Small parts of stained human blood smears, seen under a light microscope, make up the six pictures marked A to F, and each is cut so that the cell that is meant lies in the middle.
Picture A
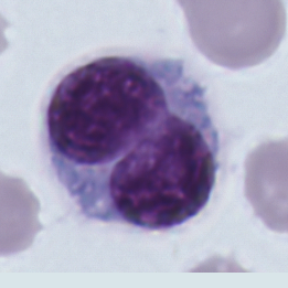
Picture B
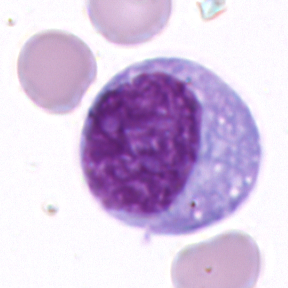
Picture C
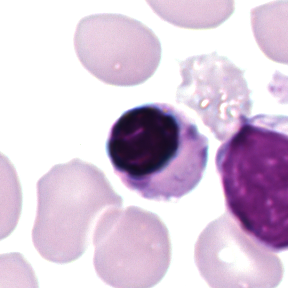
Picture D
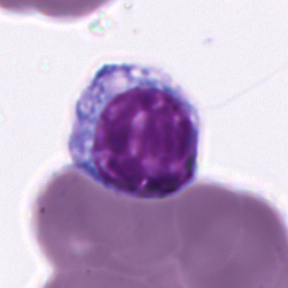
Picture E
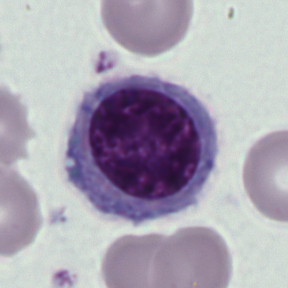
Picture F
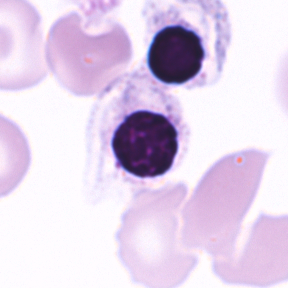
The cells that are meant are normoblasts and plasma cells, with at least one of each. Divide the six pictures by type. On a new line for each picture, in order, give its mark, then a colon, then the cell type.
A: plasma cell
B: plasma cell
C: normoblast
D: plasma cell
E: plasma cell
F: normoblast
